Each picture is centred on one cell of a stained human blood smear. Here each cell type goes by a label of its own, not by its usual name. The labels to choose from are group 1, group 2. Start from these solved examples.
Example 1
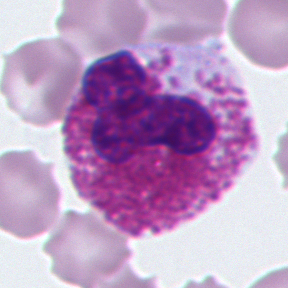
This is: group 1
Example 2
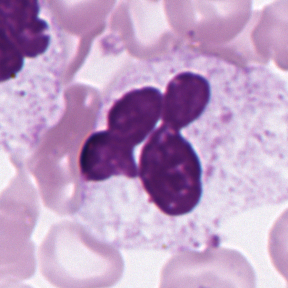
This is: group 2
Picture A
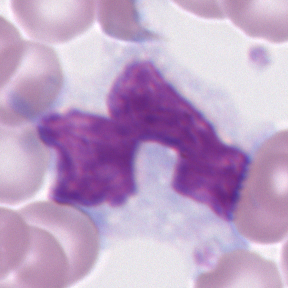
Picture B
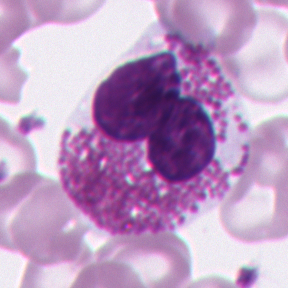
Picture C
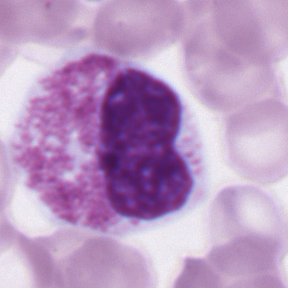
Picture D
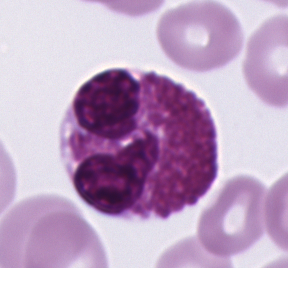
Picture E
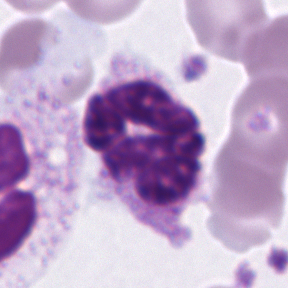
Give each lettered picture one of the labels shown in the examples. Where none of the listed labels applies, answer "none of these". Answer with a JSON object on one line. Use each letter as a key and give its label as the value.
{"A": "none of these", "B": "group 1", "C": "group 1", "D": "group 1", "E": "group 2"}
